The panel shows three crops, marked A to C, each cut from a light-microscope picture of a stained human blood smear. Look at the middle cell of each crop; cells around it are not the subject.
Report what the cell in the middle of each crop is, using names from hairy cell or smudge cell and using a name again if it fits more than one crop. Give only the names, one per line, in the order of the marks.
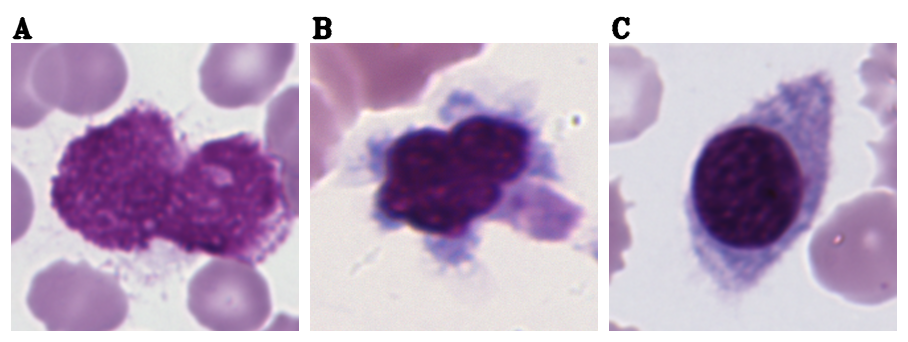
smudge cell
hairy cell
hairy cell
